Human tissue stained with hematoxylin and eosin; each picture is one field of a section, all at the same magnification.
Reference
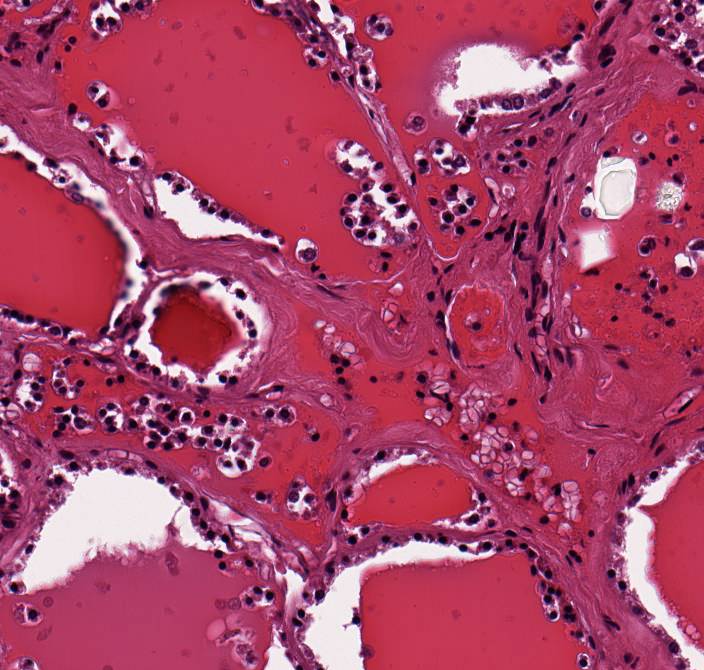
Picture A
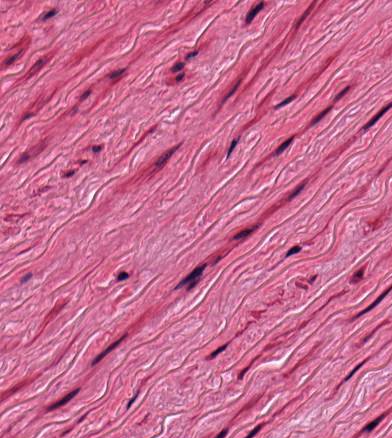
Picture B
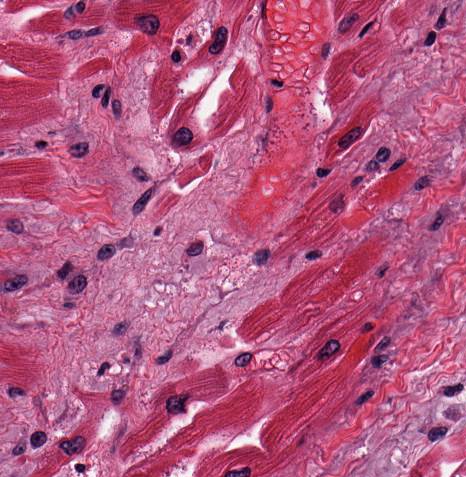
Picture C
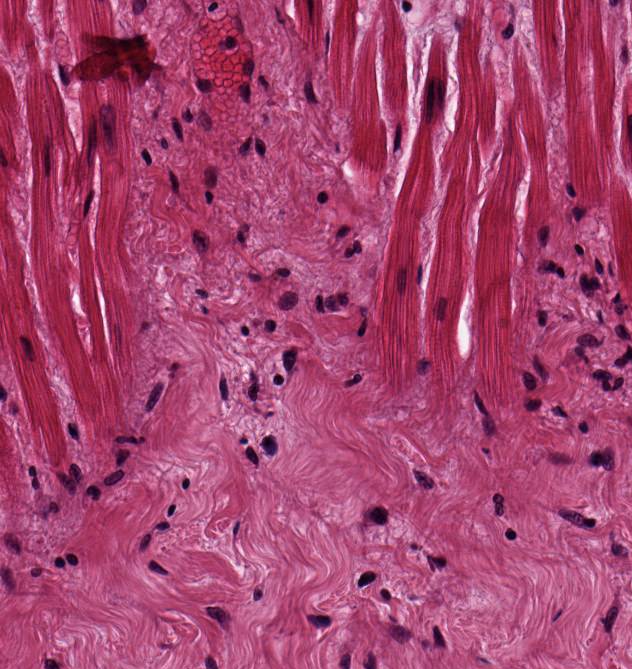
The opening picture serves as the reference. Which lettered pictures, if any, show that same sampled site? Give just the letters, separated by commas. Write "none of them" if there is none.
none of them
